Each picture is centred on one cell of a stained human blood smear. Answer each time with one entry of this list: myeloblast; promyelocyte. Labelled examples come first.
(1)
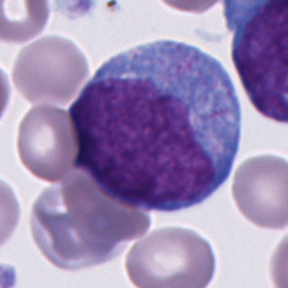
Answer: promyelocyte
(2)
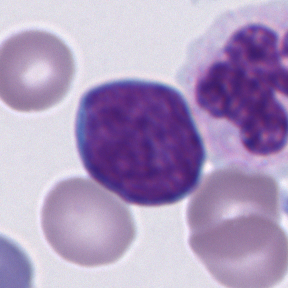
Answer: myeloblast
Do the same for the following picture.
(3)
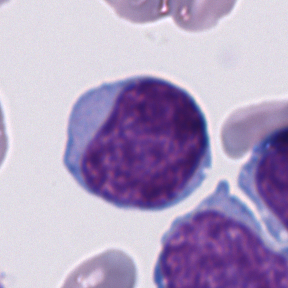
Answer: myeloblast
